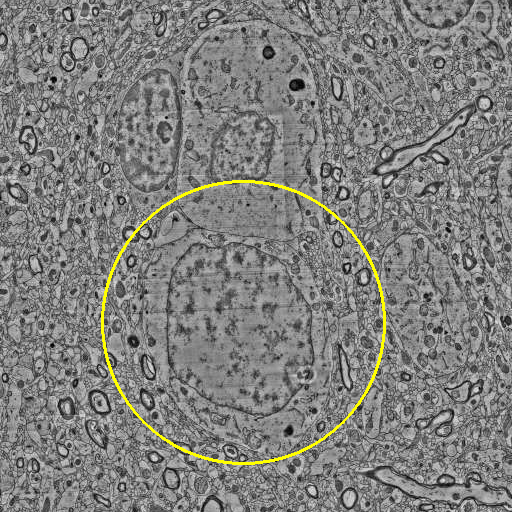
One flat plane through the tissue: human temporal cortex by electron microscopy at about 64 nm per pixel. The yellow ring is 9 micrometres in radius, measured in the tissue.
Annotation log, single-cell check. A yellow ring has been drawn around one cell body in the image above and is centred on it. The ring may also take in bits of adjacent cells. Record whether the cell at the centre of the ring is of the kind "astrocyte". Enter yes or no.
no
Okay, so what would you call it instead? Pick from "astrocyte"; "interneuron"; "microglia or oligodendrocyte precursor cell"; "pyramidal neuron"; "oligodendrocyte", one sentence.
It is a pyramidal neuron at the centre of the ring.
